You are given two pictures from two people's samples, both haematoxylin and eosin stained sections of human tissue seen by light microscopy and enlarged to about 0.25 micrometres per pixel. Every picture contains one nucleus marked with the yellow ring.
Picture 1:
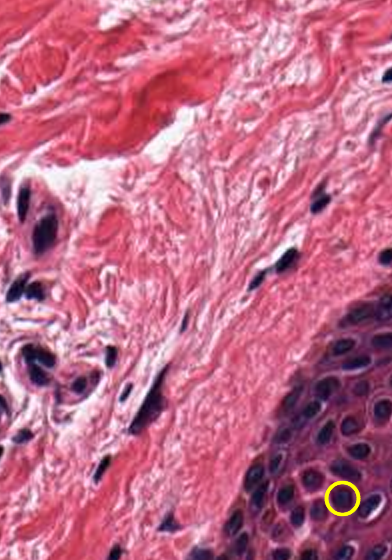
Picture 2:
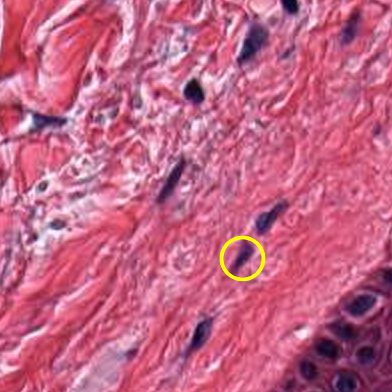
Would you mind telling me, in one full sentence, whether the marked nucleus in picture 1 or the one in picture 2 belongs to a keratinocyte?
The marked nucleus in picture 1 is the nucleus of a keratinocyte.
